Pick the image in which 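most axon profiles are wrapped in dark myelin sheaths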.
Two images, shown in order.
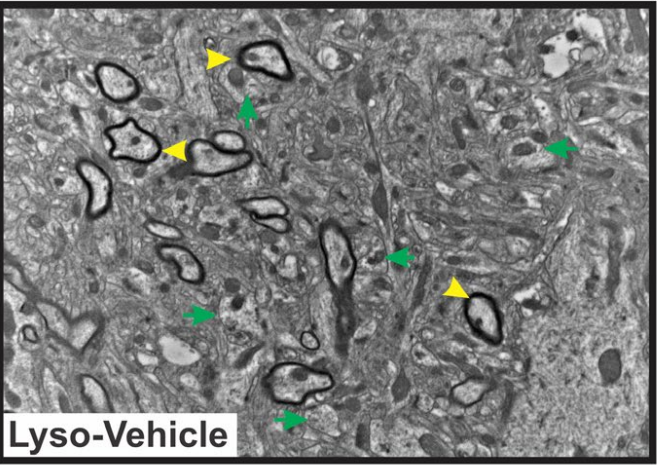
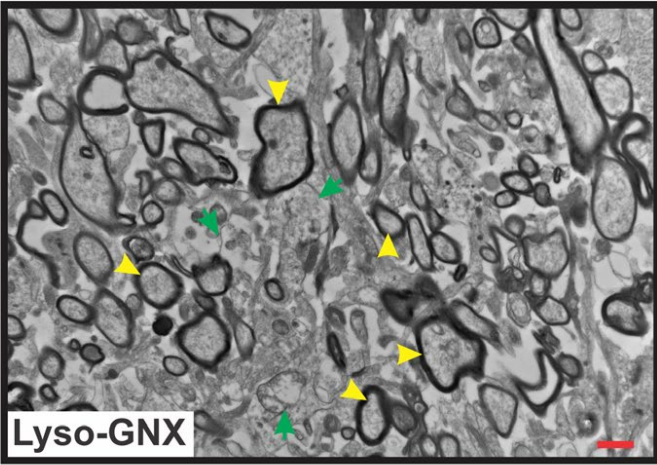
The second image.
